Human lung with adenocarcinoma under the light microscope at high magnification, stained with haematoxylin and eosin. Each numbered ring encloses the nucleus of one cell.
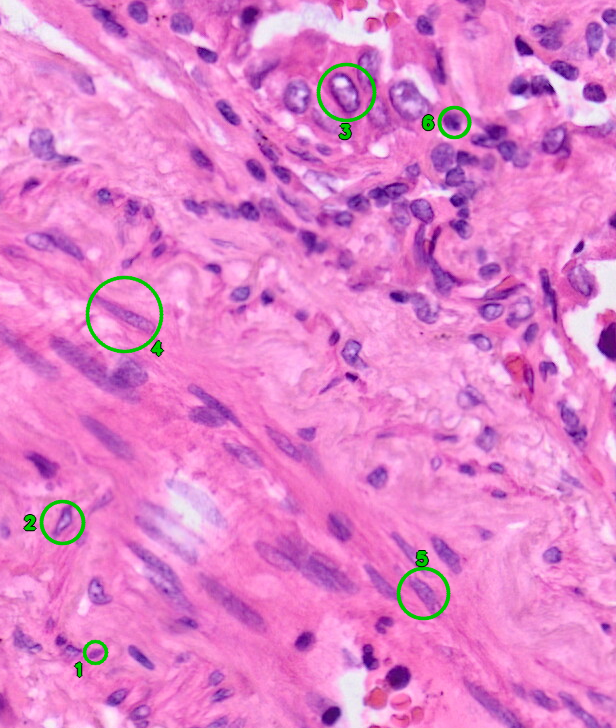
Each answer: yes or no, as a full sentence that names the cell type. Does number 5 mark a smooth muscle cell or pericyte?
Yes, the numbered cell 5 is a smooth muscle cell or pericyte.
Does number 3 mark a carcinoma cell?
Yes, the cell that the number 3 labels is a carcinoma cell.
